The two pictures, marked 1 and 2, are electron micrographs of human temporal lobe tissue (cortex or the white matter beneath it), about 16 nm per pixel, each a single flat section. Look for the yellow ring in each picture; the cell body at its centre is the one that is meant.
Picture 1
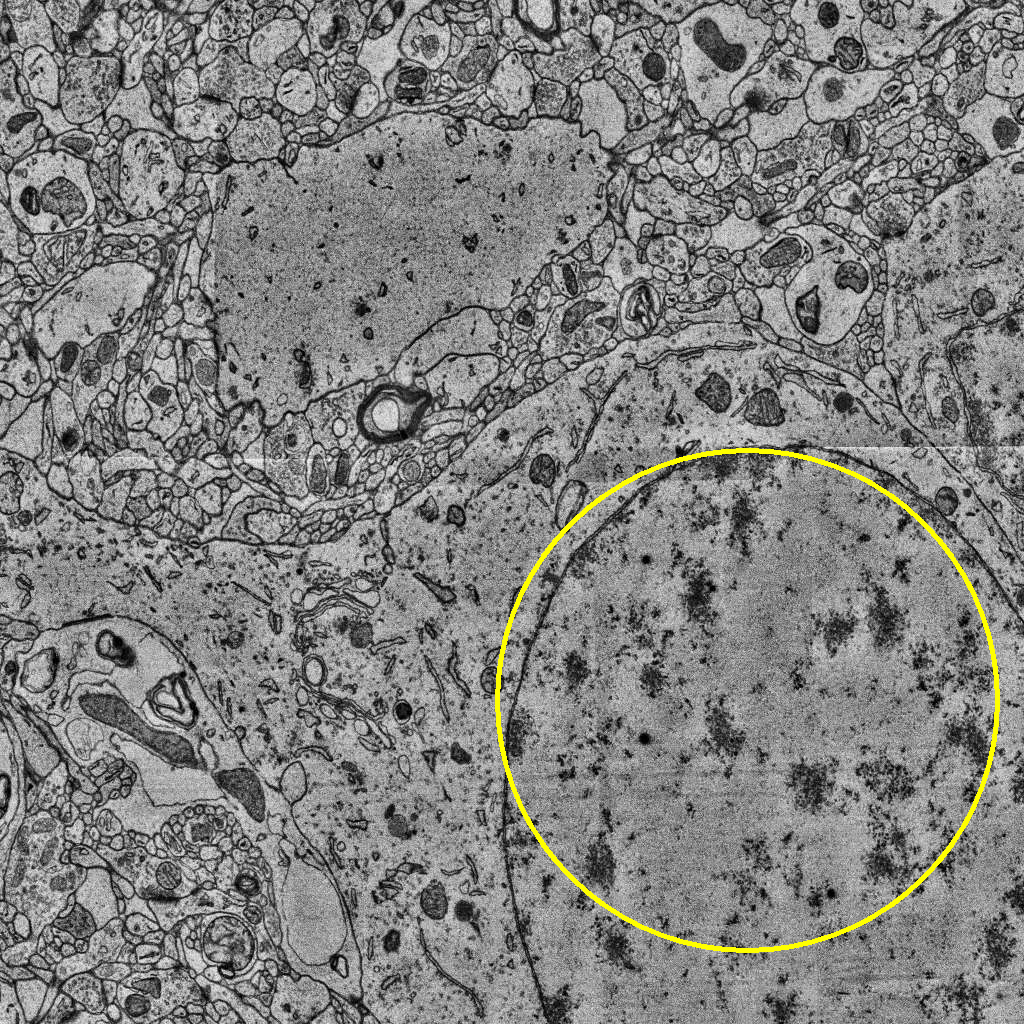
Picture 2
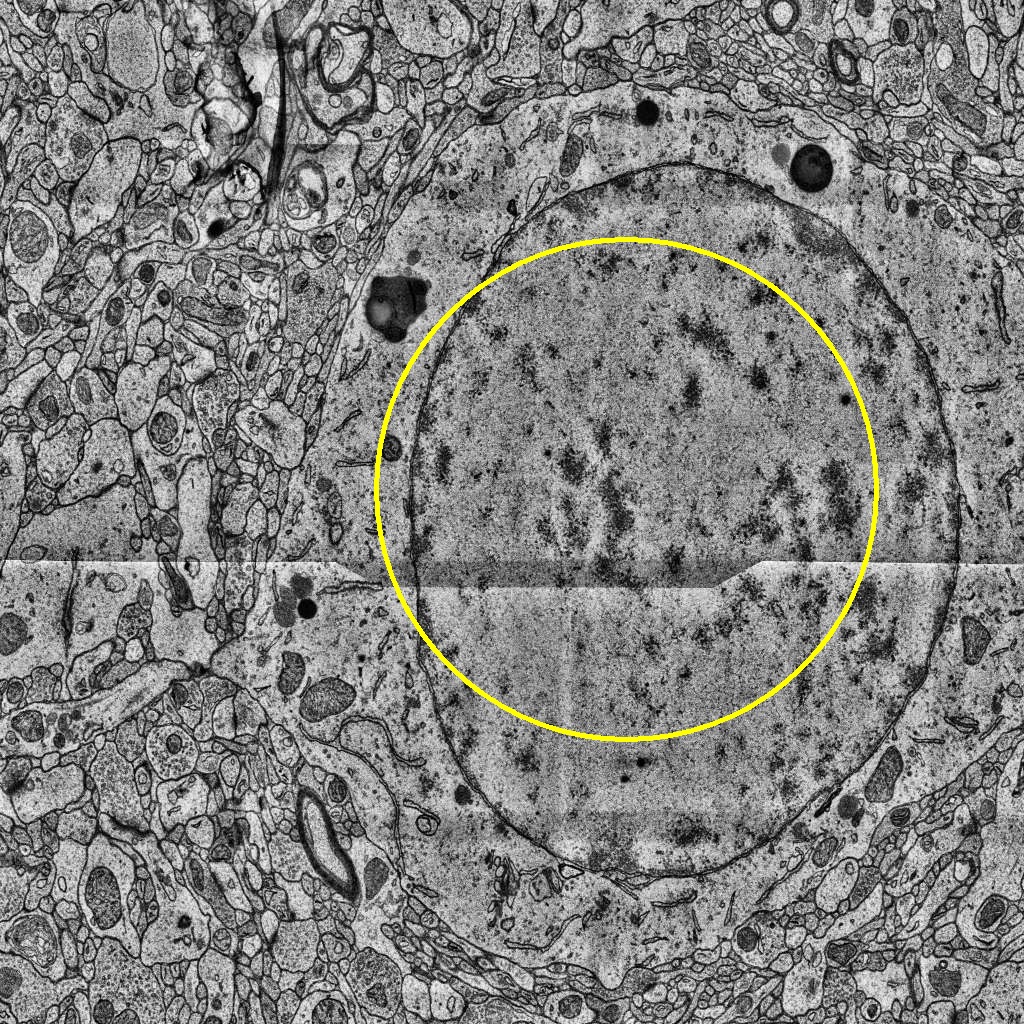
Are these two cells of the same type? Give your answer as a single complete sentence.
Yes, both are pyramidal neurons.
